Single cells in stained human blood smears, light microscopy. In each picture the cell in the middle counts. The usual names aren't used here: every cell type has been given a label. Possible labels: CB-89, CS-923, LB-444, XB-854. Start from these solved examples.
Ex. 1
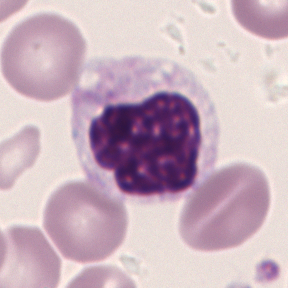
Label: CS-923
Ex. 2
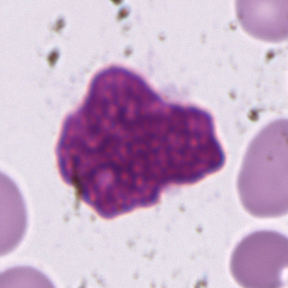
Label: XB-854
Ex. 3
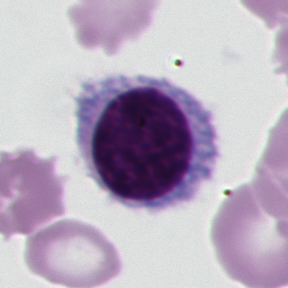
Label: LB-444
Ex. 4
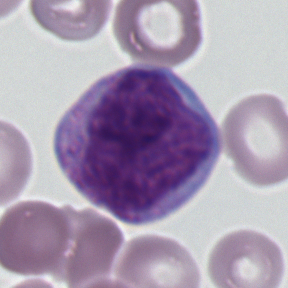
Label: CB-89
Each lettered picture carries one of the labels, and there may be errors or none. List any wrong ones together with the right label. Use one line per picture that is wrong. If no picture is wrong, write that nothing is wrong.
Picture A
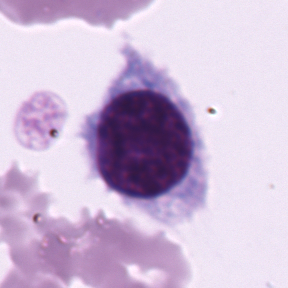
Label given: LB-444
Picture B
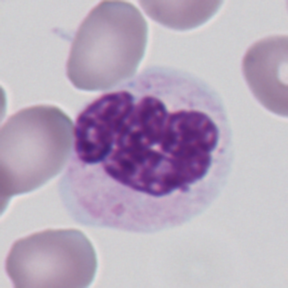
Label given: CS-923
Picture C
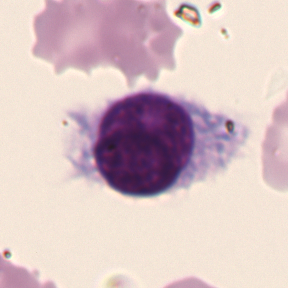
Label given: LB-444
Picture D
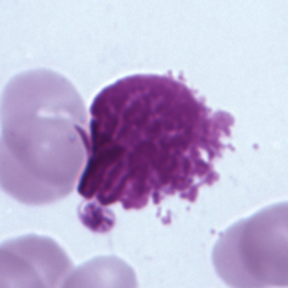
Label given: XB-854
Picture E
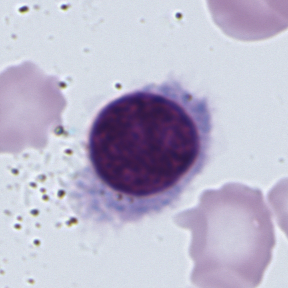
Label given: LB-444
Every label is right.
